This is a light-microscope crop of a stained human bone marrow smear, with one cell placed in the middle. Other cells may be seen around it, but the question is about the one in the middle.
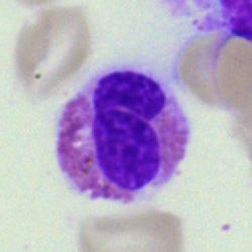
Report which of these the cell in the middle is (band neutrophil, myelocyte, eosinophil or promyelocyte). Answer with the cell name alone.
eosinophil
